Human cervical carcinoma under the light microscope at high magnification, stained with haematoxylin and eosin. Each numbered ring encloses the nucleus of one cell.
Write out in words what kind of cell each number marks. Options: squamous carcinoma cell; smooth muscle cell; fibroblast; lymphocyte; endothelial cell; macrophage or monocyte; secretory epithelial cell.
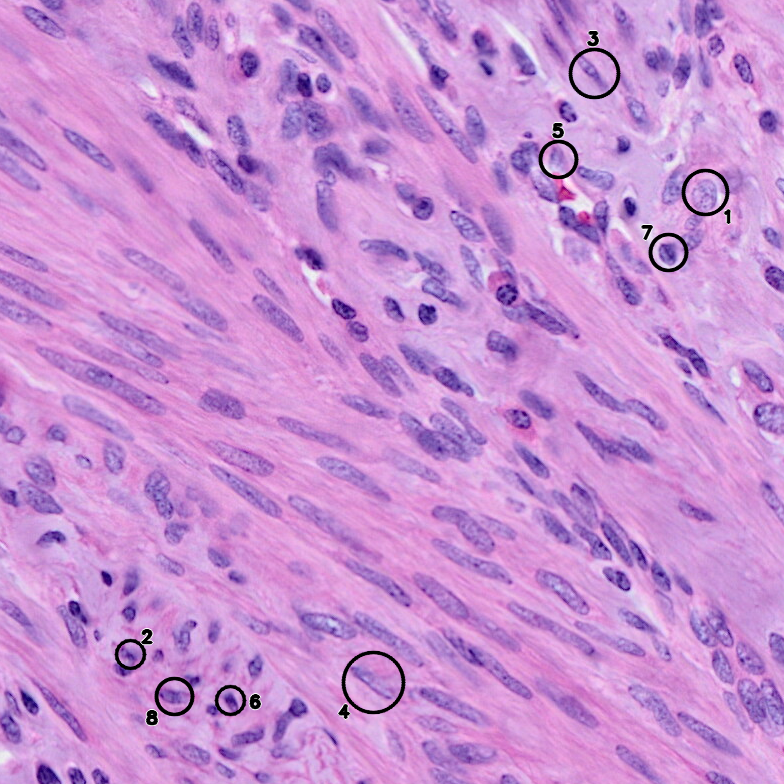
Cell 1 is an endothelial cell, cell 2 is a smooth muscle cell, cell 3 is a smooth muscle cell, cell 4 is a smooth muscle cell, cell 5 is an endothelial cell, cell 6 is a smooth muscle cell, cell 7 is a lymphocyte and cell 8 is a smooth muscle cell.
